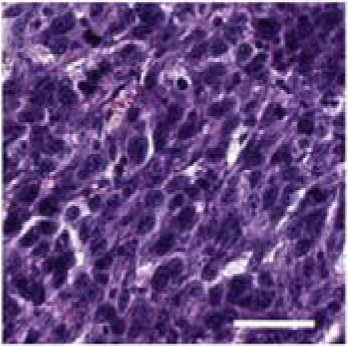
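This is a tumor composed of crowded sheets of tumor cells, stained more darkly overall than a typical section. The nuclei are large, oval to irregular and deeply purple, taking up much of each cell. The cytoplasm is scant and purplish-pink, so neighbouring nuclei lie close to one another. Narrow pale clefts run between groups of cells, but no glands or orderly layers are formed. The cells vary in size and shape, giving the field a disorganized, densely cellular look.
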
